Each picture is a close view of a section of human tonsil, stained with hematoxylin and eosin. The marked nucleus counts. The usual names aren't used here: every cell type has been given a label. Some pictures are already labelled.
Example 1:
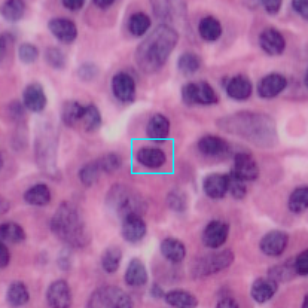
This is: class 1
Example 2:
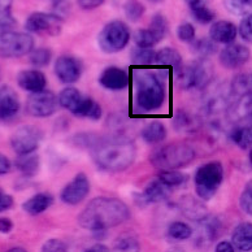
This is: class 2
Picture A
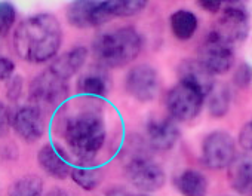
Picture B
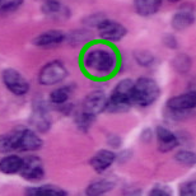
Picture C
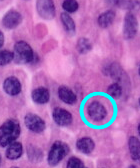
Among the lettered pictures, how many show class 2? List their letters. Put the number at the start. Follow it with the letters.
1: A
